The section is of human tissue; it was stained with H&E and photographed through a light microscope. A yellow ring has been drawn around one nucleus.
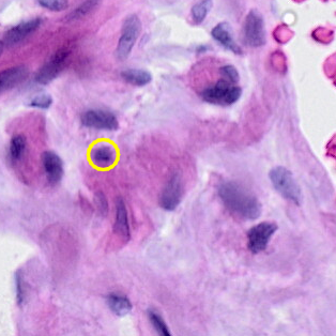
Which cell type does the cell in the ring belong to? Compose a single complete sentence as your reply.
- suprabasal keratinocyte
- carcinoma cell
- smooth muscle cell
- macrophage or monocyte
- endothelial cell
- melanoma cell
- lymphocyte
It is a smooth muscle cell that the cell in the ring represents.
